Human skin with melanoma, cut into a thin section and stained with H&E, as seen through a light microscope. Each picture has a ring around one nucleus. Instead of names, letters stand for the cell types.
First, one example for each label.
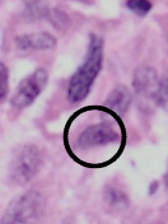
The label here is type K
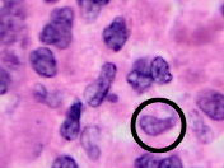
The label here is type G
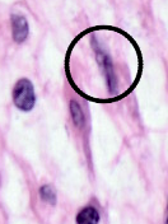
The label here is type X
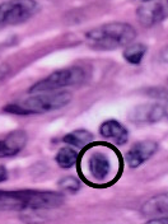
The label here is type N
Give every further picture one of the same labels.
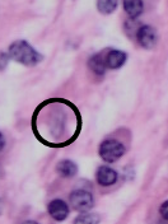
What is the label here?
type X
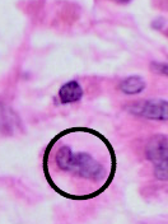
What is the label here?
type G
